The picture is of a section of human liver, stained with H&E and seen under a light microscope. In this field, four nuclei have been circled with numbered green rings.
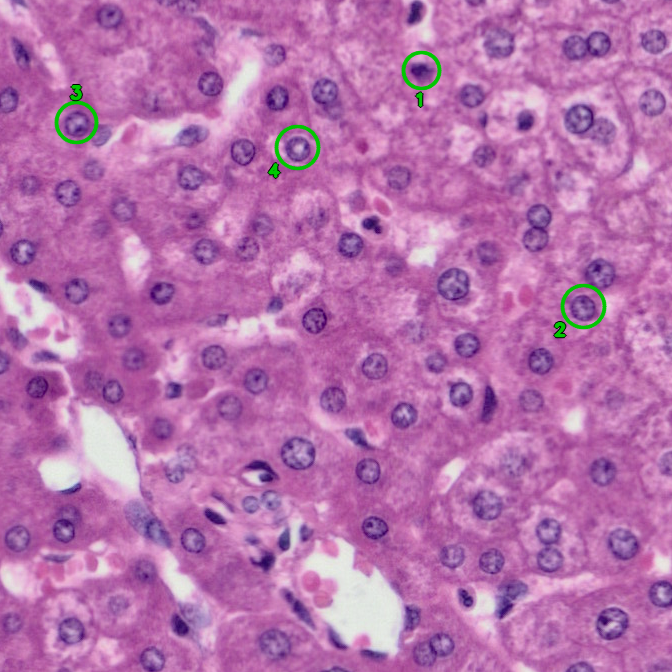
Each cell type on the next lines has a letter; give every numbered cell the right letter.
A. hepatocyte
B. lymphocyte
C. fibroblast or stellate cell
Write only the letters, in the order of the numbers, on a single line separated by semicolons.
C; A; A; A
